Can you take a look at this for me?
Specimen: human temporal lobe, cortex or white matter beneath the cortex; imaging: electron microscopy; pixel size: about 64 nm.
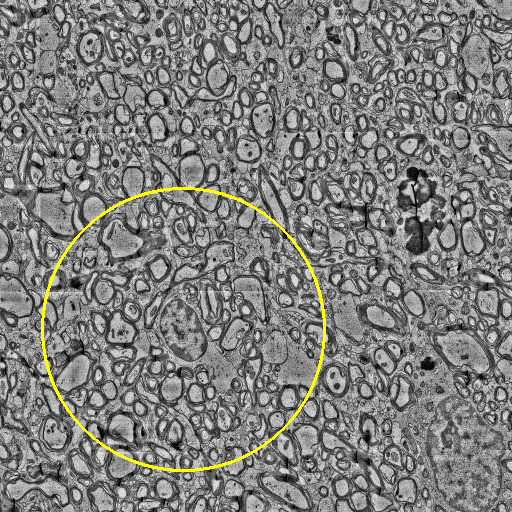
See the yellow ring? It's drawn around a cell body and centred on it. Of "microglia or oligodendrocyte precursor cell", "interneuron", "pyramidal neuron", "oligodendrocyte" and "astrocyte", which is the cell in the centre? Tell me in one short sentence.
The one in the centre is a microglial cell or oligodendrocyte precursor cell.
